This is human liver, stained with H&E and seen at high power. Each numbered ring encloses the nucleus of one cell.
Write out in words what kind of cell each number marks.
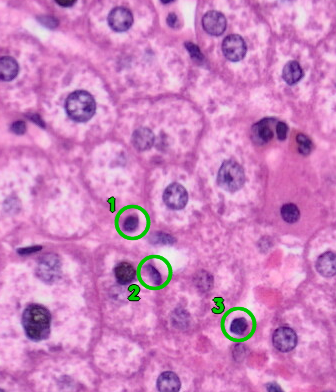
Cell 1 is a lymphocyte, cell 2 is a fibroblast or stellate cell and cell 3 is a lymphocyte.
